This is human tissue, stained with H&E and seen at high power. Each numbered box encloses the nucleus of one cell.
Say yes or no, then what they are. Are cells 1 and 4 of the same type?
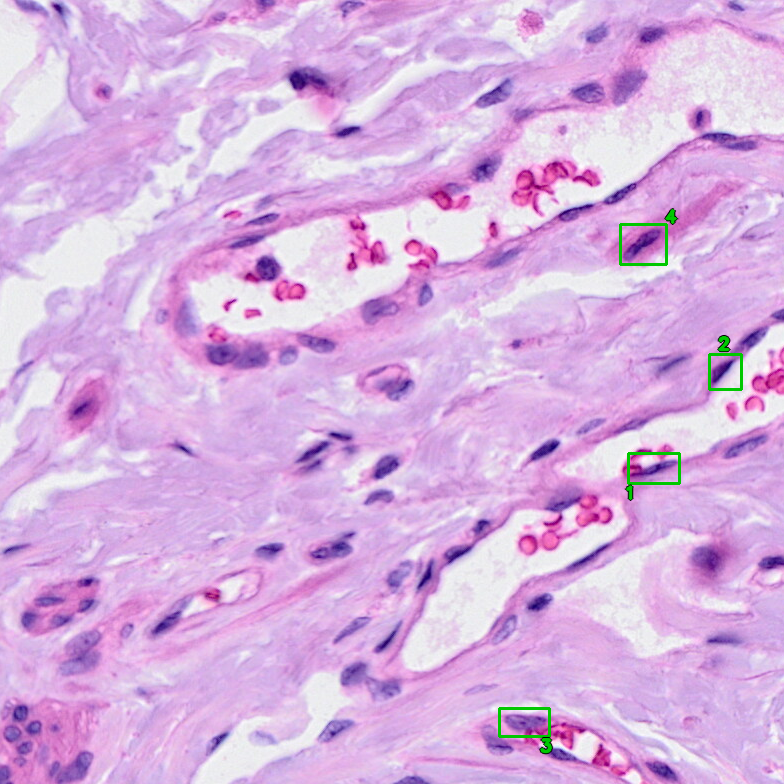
No, cell 1 is an endothelial cell, and cell 4, in contrast, is a smooth muscle cell.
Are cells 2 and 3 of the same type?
Yes, endothelial cells are what cells 2 and 3 both are.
